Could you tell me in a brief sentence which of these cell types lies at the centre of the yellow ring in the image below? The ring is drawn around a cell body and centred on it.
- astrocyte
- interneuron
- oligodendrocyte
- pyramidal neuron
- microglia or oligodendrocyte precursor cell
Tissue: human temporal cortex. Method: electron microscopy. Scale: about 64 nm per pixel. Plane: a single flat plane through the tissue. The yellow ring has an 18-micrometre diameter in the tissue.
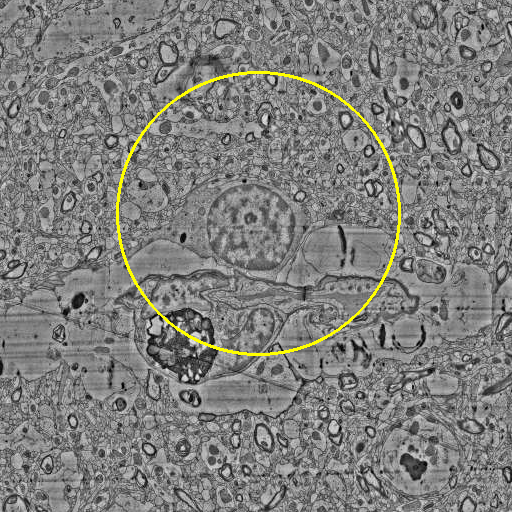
The cell centred in the ring is an oligodendrocyte.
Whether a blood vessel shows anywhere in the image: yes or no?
Yes.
